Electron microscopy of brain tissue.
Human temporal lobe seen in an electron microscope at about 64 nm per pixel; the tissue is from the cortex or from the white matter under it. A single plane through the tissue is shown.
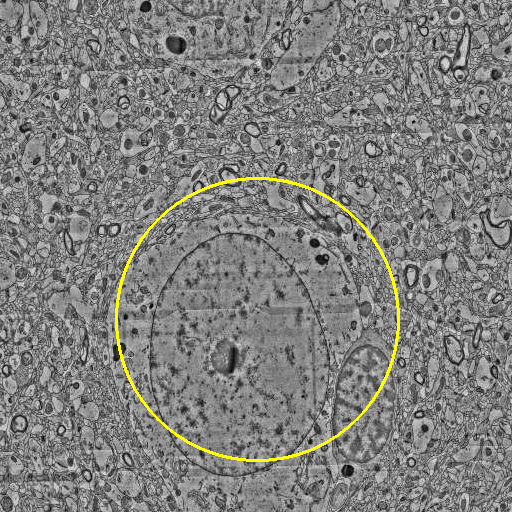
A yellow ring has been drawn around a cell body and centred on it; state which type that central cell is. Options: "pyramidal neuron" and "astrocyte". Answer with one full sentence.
The cell at the middle of the yellow ring is a pyramidal neuron in this picture.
